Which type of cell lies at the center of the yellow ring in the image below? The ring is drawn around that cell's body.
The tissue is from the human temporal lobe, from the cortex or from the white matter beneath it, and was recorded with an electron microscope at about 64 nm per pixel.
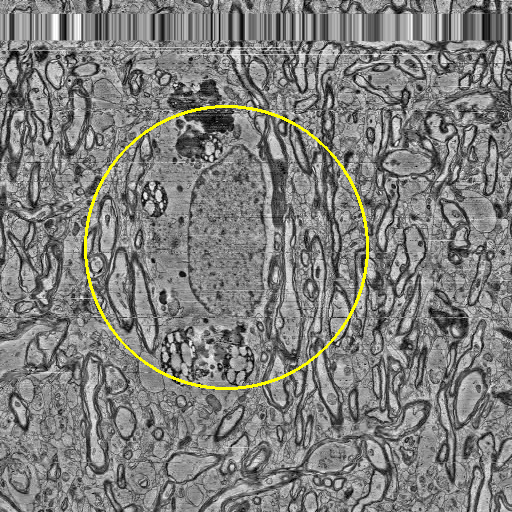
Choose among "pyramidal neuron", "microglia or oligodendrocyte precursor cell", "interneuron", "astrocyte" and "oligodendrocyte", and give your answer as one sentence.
The cell body at the center belongs to an astrocyte.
